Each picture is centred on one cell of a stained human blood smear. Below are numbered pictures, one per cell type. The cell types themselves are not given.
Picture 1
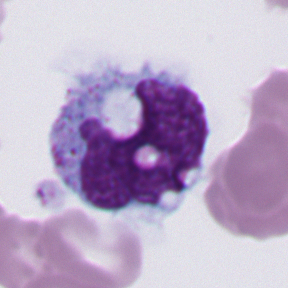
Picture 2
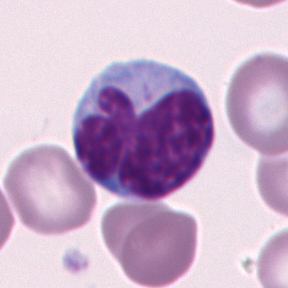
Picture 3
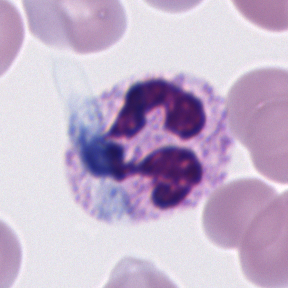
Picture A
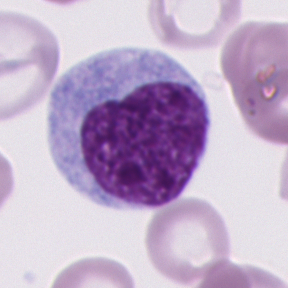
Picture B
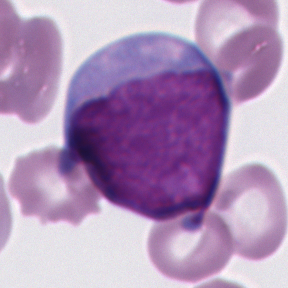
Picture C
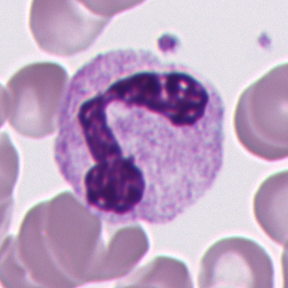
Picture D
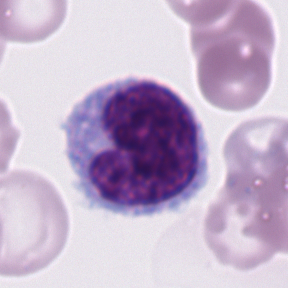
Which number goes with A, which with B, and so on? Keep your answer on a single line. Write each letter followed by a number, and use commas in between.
A 1, B 2, C 3, D 1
